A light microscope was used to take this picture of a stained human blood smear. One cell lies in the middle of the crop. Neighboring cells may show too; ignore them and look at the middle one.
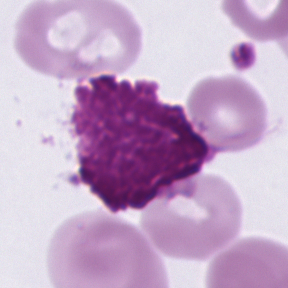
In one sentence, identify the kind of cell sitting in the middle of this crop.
At the center of the crop sits a smudge cell.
